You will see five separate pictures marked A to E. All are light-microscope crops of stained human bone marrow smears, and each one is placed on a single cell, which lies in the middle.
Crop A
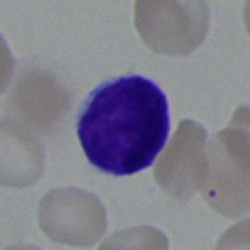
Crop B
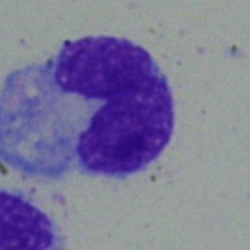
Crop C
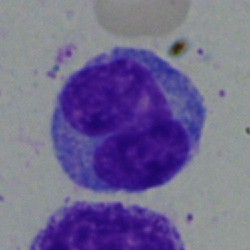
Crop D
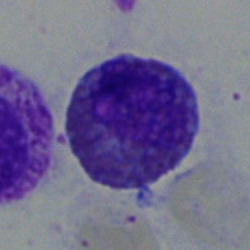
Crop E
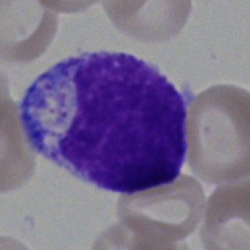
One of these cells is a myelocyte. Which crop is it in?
E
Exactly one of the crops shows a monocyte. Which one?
C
